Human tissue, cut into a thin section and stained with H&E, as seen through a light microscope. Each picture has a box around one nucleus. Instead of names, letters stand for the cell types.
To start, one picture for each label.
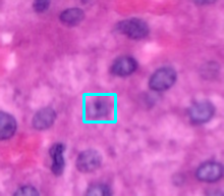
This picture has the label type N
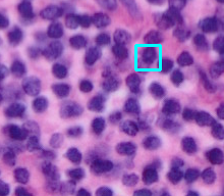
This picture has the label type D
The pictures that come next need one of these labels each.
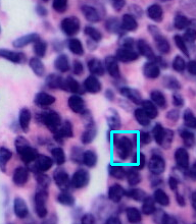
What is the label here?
type D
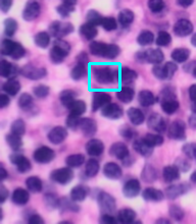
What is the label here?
type D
